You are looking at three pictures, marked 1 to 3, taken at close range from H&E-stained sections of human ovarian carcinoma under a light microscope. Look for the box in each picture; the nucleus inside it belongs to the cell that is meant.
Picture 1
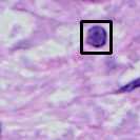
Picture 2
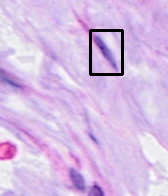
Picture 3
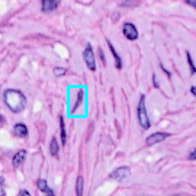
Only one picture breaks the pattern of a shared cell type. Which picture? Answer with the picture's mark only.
1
